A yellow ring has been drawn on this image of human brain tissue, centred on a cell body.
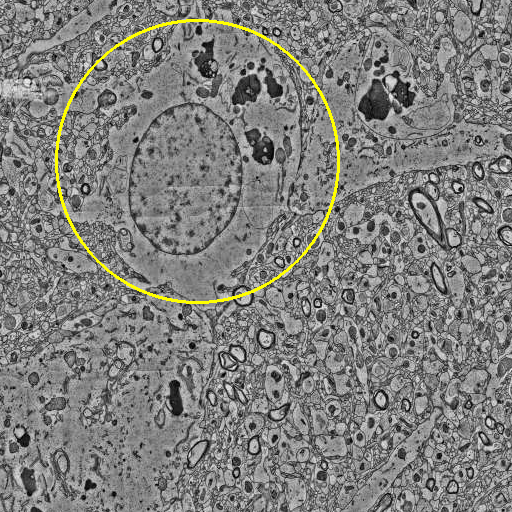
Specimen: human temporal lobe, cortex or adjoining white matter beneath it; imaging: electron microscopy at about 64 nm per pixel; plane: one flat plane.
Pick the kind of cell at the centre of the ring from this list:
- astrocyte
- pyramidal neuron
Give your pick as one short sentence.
The centre of the ring holds an astrocyte.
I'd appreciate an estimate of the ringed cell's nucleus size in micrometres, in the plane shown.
The nucleus works out at approximately 10 by 7 micrometres in this plane.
